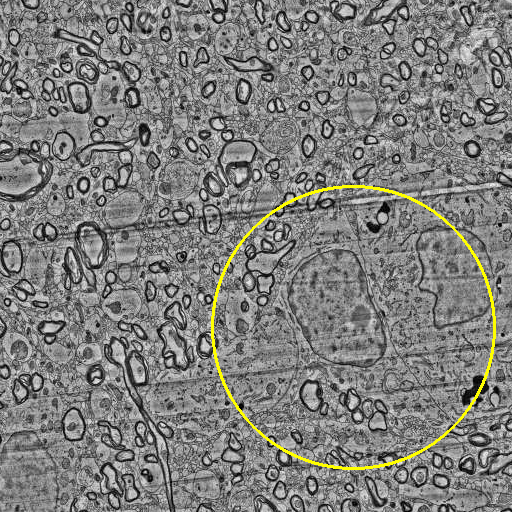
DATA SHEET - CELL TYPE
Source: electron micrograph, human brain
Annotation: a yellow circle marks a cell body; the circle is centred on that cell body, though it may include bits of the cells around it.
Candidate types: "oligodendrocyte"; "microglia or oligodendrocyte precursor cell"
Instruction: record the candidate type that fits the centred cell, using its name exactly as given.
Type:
microglia or oligodendrocyte precursor cell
